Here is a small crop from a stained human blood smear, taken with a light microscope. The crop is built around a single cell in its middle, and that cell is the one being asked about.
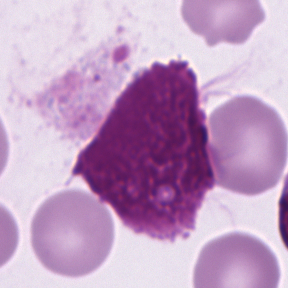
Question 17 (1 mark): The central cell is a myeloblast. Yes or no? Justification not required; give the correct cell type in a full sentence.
No, the central cell in this crop is a smudge cell and not a myeloblast.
